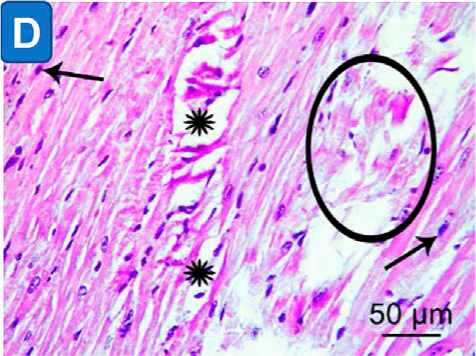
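In places the fibers are broken up into pale, frayed fragments separated by wide clear spaces, showing degenerated muscle fibers. Other fibers are irregular and patchily eosinophilic. Several myocytes carry small, compact, deeply purple nuclei, darker than the oval nuclei of neighbouring fibers. The parallel, tightly packed arrangement of normal heart muscle is lost over much of the field, with open clefts running between groups of fibers.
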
